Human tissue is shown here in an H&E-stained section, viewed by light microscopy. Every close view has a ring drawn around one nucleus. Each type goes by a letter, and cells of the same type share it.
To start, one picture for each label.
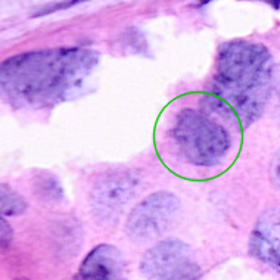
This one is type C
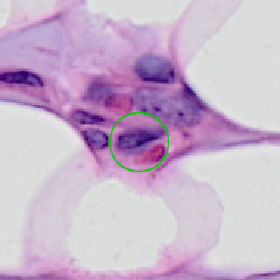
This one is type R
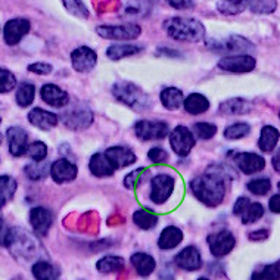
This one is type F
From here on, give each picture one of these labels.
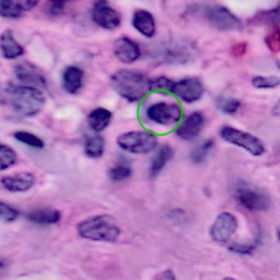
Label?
type F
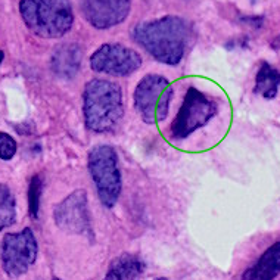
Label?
type C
